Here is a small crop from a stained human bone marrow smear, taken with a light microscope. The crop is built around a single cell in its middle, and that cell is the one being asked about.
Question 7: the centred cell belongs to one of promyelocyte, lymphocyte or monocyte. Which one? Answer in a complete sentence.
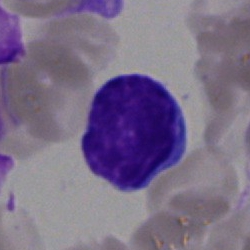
The cell centred in this crop is categorized as a lymphocyte.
